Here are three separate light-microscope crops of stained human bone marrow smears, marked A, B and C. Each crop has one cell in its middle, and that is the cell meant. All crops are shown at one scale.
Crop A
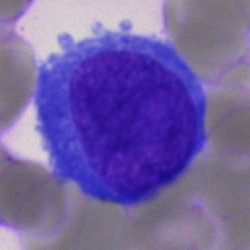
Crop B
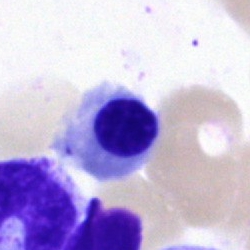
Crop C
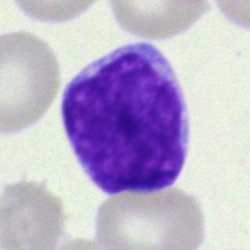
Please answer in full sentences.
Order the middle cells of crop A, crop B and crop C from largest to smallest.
From the largest down, the order is A, C, B.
